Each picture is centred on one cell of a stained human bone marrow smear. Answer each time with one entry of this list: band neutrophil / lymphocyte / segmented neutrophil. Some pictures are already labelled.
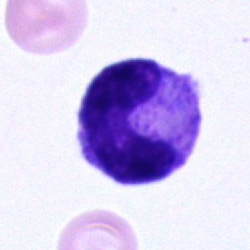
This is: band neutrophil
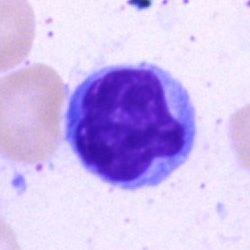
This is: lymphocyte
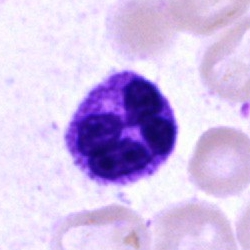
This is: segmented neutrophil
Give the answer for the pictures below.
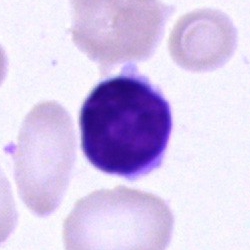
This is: lymphocyte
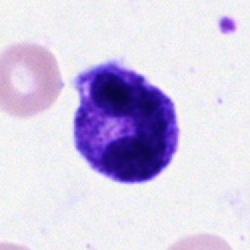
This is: segmented neutrophil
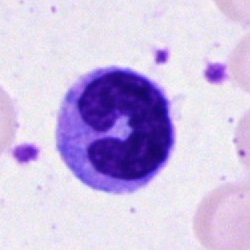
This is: band neutrophil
